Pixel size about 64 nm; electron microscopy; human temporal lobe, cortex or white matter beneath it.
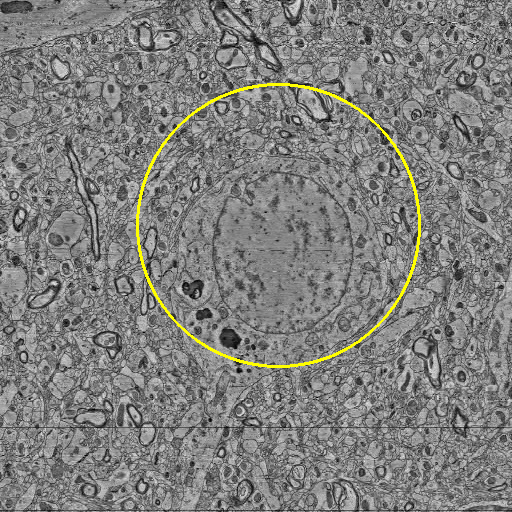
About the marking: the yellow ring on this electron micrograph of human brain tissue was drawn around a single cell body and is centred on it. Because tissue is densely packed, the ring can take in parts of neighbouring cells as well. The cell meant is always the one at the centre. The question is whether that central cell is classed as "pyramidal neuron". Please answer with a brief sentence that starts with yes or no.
Yes, the central cell is classed that way.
